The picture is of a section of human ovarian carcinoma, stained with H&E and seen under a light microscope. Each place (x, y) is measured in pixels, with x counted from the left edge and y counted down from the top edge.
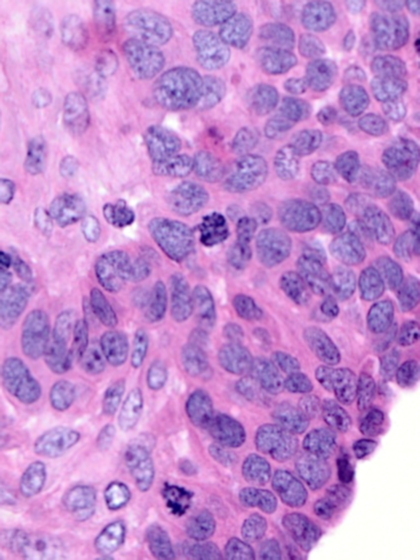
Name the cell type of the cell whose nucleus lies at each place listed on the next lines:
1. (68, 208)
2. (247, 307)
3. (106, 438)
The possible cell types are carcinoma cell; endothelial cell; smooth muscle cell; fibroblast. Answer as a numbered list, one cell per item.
1. fibroblast
2. carcinoma cell
3. fibroblast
